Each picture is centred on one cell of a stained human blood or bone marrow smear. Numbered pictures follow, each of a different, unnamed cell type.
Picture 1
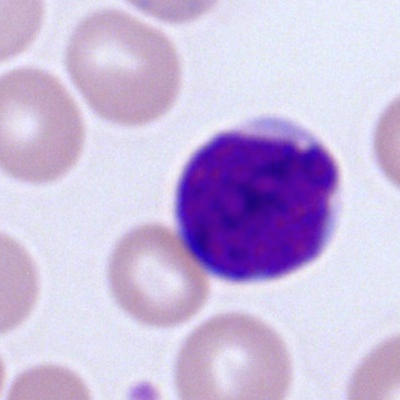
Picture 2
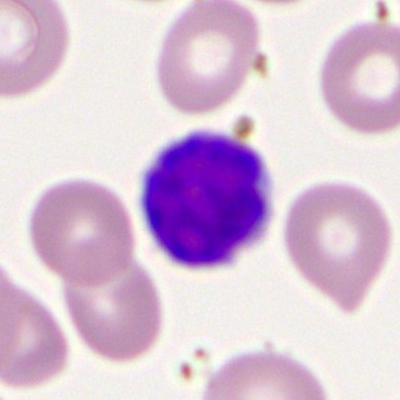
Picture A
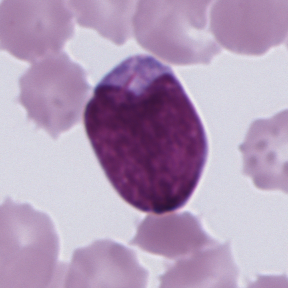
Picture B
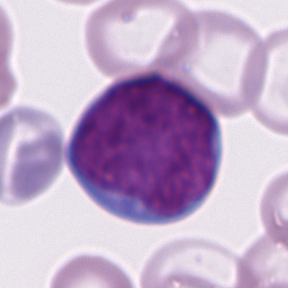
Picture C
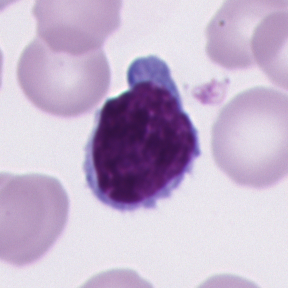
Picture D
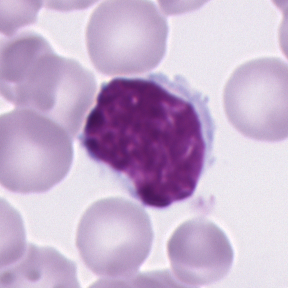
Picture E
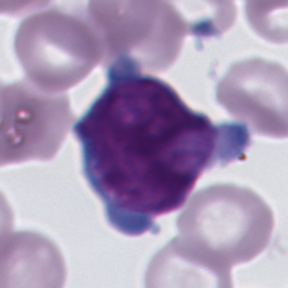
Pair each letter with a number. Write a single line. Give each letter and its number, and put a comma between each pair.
A 1, B 1, C 2, D 2, E 1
